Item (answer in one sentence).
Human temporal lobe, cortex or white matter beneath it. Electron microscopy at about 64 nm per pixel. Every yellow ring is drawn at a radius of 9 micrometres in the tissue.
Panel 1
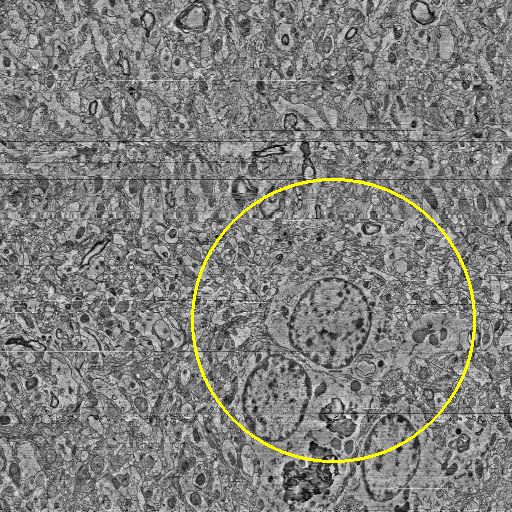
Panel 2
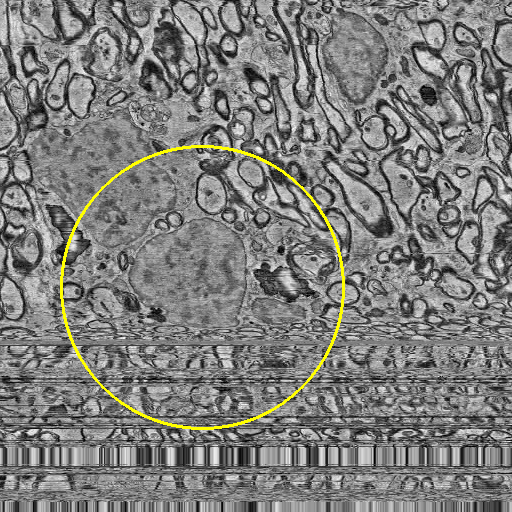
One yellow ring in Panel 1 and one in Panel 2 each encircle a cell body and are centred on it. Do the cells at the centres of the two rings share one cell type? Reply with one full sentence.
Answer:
No, Panel 1 and Panel 2 show cells of two types at the centres of their rings.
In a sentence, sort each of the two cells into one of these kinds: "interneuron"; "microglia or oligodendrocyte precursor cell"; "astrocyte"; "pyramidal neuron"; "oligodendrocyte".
The first of the two cells is an astrocyte, and the second is an oligodendrocyte.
